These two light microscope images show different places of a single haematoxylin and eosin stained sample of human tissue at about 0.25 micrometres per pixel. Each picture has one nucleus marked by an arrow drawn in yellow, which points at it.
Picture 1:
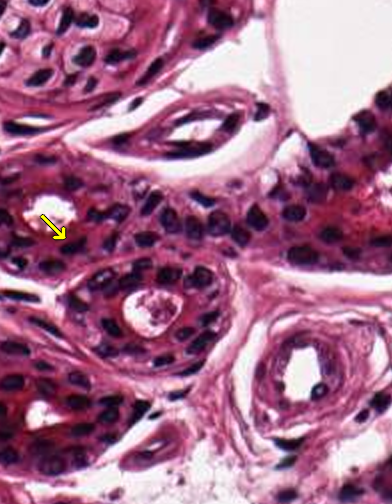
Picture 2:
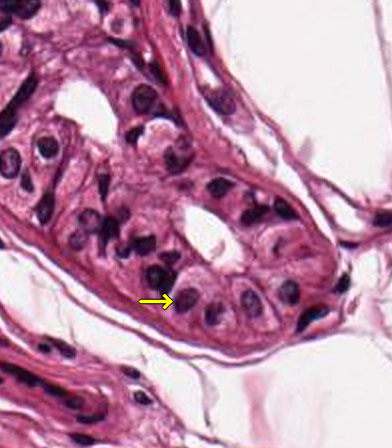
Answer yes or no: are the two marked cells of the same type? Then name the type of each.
Yes, both are sweat gland cells.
